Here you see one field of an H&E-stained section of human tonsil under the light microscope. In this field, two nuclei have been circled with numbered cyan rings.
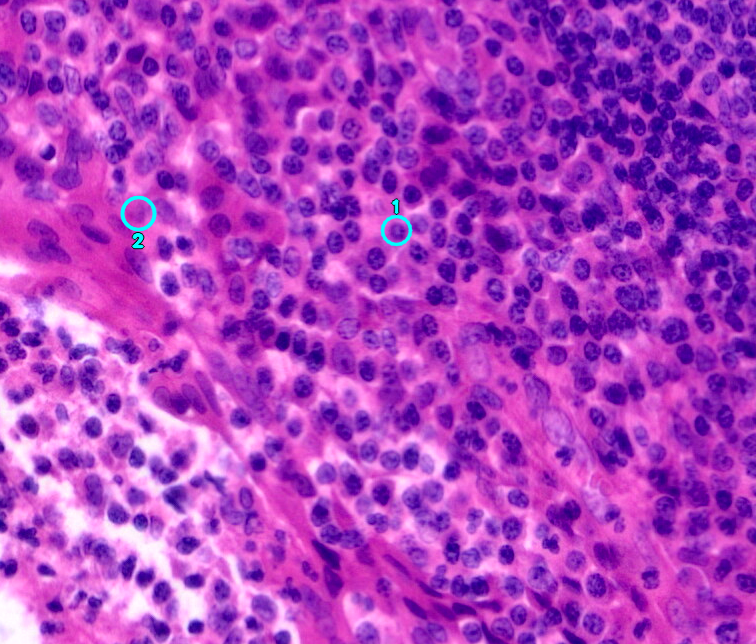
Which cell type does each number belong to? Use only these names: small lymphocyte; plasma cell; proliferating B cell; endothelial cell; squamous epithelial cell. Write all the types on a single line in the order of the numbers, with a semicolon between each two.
plasma cell; squamous epithelial cell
